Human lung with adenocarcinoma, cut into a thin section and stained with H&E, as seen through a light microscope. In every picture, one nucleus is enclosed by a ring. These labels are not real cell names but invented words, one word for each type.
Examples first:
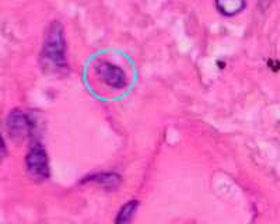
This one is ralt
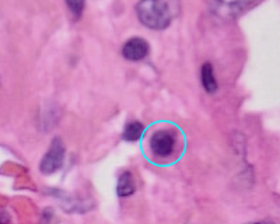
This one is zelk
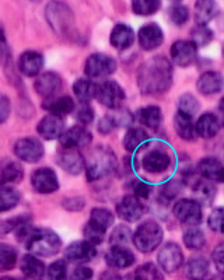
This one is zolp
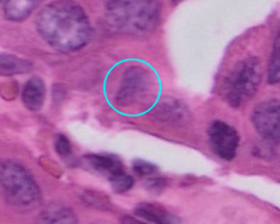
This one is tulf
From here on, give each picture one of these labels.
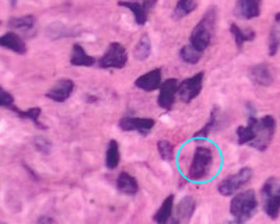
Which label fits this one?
zelk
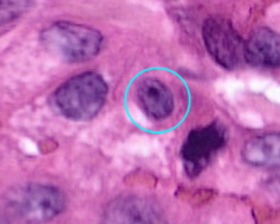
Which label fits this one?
tulf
